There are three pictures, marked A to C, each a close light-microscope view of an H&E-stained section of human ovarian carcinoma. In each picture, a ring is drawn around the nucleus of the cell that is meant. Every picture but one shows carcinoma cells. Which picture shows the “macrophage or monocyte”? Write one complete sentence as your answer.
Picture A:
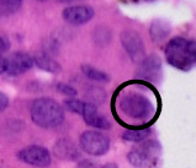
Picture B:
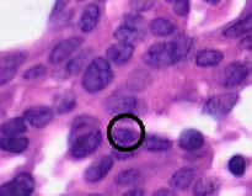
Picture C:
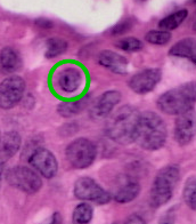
Picture C shows the “macrophage or monocyte”.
